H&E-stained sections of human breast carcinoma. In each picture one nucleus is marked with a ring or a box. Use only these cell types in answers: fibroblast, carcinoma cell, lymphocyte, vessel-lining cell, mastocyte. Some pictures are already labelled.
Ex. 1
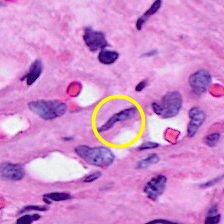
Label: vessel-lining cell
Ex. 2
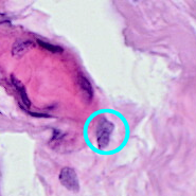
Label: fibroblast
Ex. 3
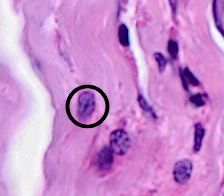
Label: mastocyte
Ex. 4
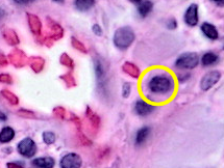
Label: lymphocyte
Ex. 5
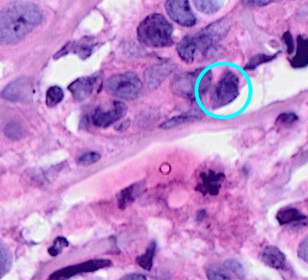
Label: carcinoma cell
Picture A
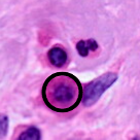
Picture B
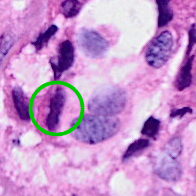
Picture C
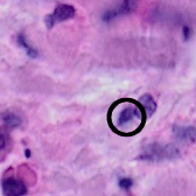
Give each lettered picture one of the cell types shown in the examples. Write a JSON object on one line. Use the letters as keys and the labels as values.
{"A": "mastocyte", "B": "carcinoma cell", "C": "lymphocyte"}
